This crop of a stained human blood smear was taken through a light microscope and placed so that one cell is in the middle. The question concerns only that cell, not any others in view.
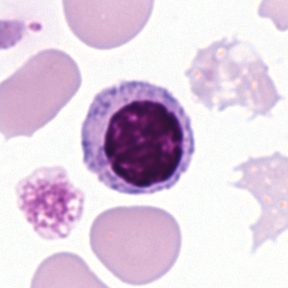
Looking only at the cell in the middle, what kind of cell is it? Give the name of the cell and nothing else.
normoblast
